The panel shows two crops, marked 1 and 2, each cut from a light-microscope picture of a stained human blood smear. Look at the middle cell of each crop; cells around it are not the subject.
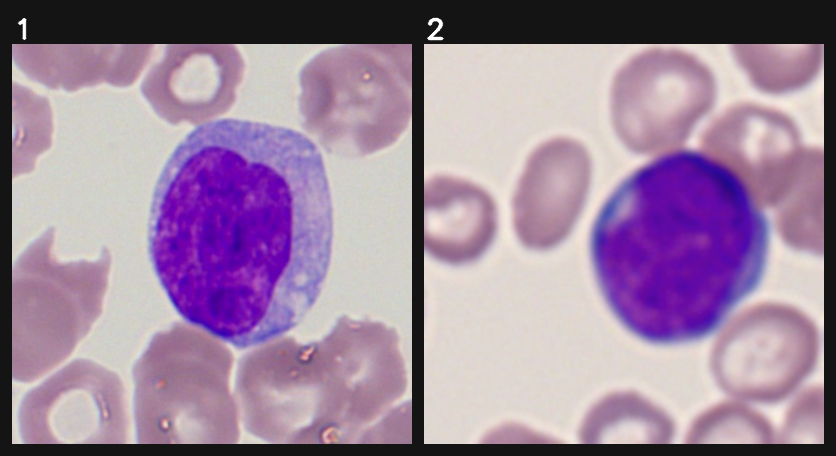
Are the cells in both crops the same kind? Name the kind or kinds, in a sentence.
No, a blast is in crop 2, and a monocyte is in crop 1.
